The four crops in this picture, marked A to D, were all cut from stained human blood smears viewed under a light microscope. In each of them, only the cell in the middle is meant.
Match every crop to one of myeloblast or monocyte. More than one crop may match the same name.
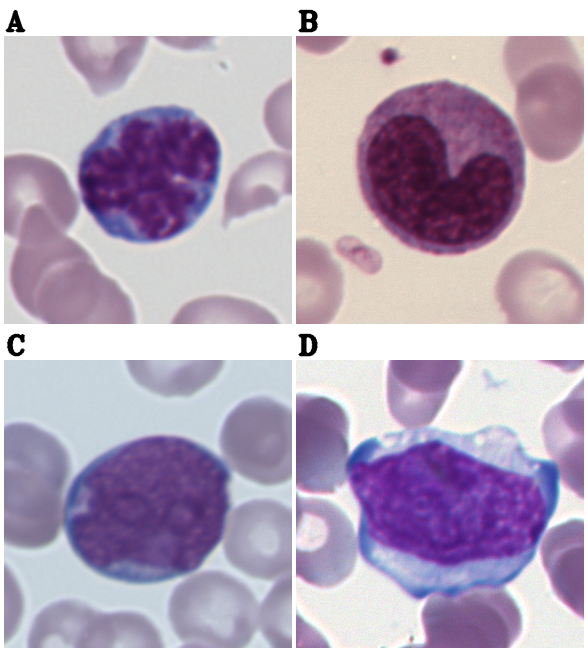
A: myeloblast
B: monocyte
C: myeloblast
D: myeloblast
